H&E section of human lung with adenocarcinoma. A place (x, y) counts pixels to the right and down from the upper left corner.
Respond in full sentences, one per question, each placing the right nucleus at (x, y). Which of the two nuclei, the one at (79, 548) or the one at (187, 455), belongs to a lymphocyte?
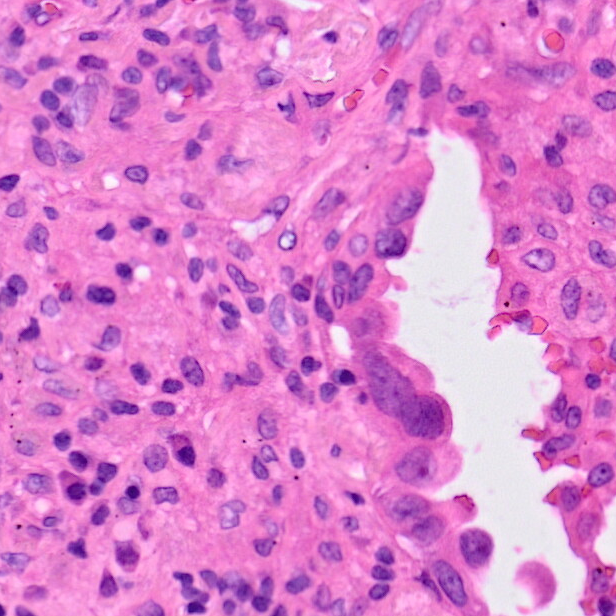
The nucleus of a lymphocyte is the one at (79, 548).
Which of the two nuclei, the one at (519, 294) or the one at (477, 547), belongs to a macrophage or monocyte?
The nucleus located at (519, 294) is the one held within a macrophage or monocyte.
